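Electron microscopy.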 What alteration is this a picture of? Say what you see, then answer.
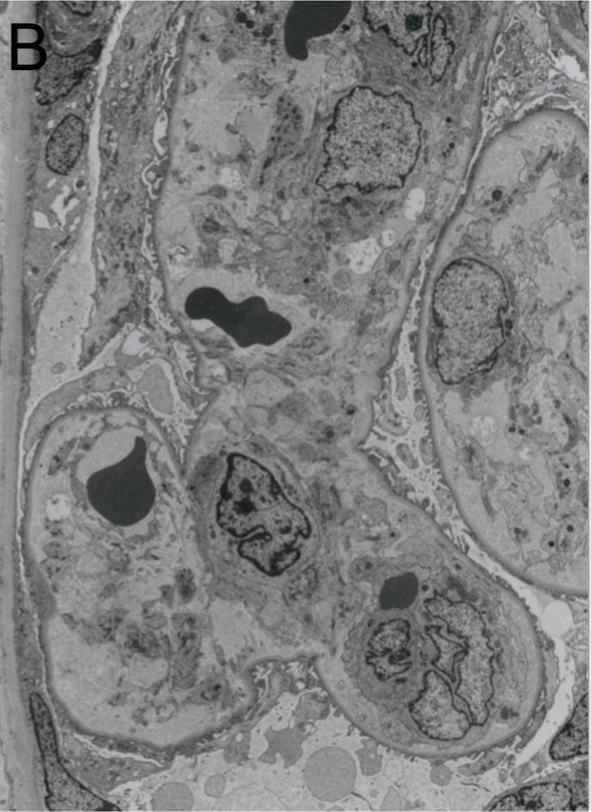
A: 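Capillary walls are broad, with a wide pale layer between the lumen and the outer membrane. The lumina are reduced to small channels.
Hence: thickening of the capillary wall.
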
